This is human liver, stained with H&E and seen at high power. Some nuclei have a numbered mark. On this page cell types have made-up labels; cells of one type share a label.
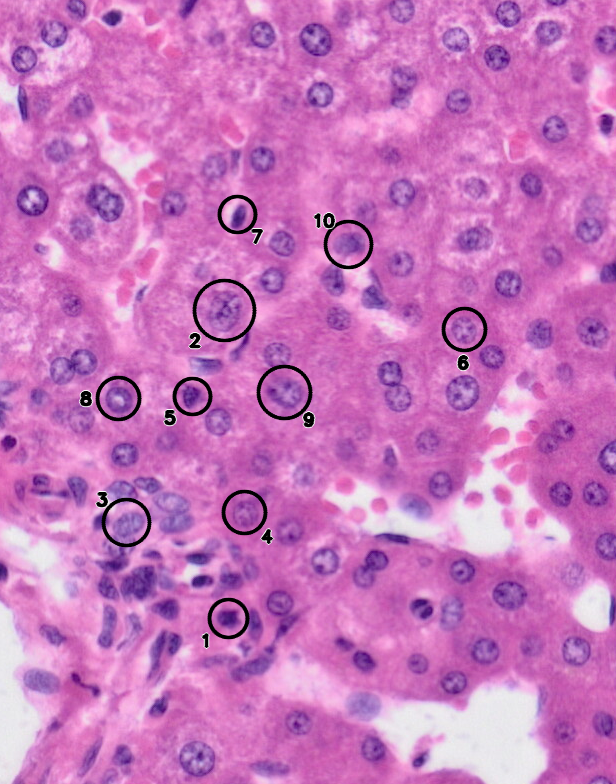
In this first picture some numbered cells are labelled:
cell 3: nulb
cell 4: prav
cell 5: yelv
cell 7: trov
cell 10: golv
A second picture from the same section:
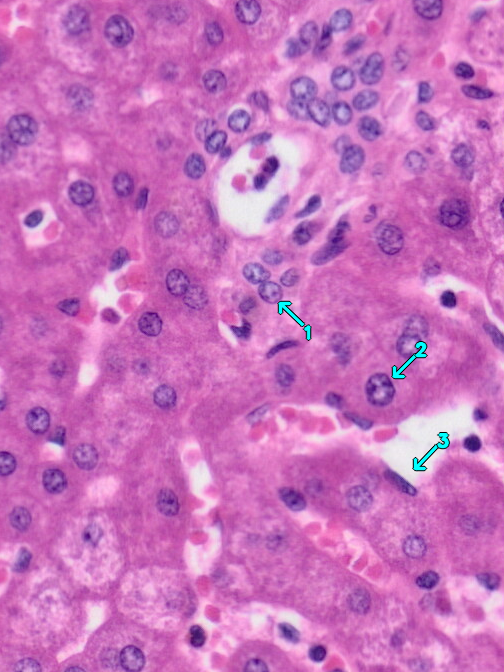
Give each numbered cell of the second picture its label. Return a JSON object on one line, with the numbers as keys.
{"1": "nulb", "2": "prav", "3": "golv"}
